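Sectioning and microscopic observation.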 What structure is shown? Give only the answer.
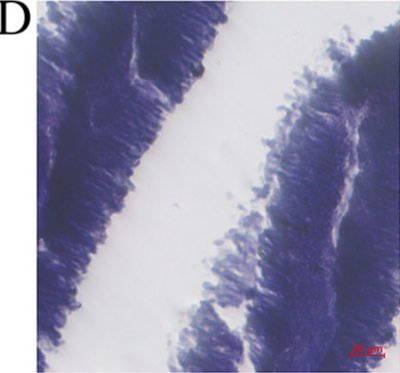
Gills.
